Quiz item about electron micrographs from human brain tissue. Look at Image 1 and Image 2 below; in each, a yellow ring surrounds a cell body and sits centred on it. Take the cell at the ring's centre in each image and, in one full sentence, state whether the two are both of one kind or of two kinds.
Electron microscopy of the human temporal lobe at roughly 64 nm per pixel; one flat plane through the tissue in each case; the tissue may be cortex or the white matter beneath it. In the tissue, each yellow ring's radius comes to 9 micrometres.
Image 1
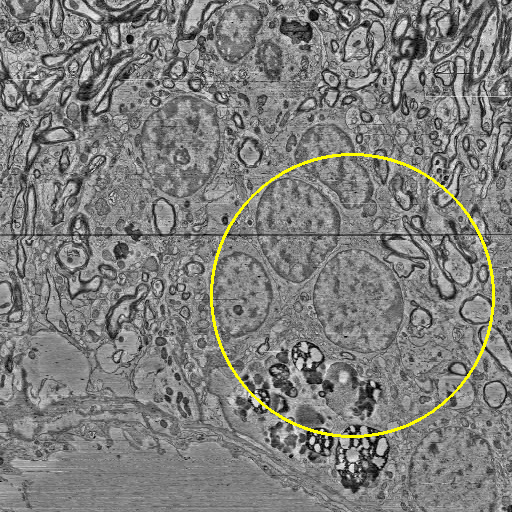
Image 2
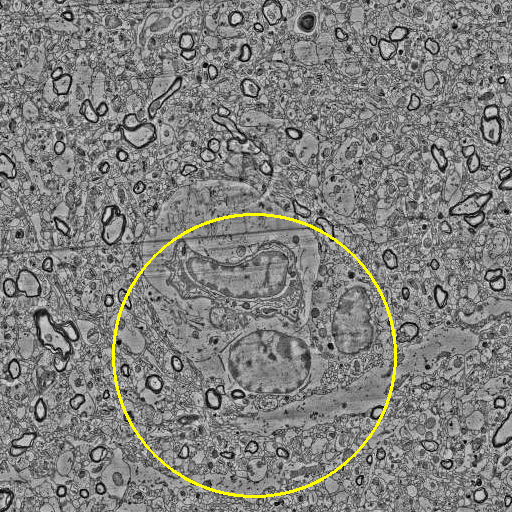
In Image 1 and Image 2, the cells at the ring centres are of two kinds.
